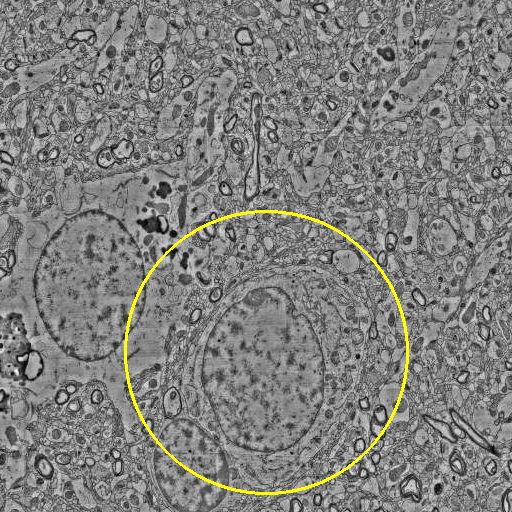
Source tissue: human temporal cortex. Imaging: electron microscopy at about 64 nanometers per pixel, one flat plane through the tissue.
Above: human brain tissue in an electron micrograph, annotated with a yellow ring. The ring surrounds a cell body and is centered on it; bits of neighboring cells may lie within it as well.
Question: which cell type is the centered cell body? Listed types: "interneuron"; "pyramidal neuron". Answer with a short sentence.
The centered cell body is an interneuron.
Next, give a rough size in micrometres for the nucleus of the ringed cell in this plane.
In this plane the nucleus is about 11 micrometres by 8.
